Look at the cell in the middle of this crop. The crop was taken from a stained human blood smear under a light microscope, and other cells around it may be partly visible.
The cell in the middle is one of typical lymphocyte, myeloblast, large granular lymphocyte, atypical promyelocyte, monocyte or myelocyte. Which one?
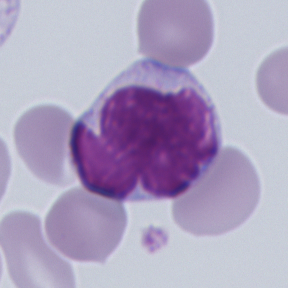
large granular lymphocyte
